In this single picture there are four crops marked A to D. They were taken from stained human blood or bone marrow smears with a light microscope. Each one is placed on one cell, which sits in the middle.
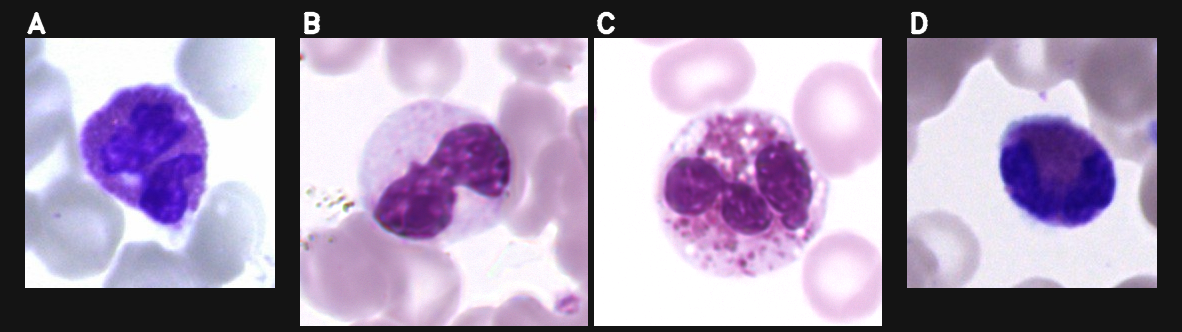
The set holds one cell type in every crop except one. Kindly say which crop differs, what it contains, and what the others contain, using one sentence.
Excluding crop B, which is a band neutrophil, the crops all show eosinophils.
